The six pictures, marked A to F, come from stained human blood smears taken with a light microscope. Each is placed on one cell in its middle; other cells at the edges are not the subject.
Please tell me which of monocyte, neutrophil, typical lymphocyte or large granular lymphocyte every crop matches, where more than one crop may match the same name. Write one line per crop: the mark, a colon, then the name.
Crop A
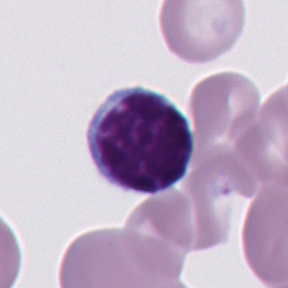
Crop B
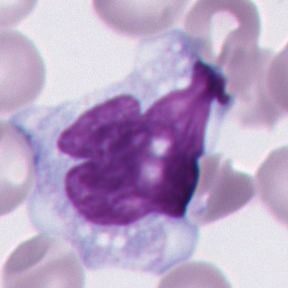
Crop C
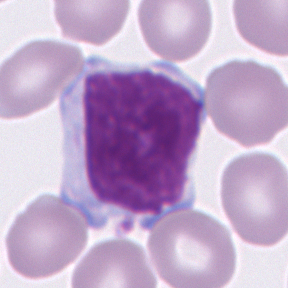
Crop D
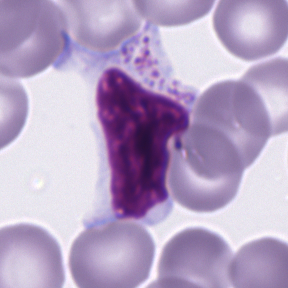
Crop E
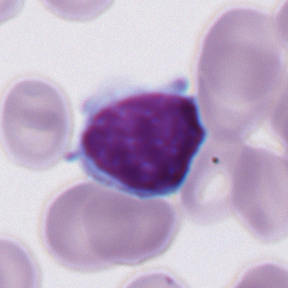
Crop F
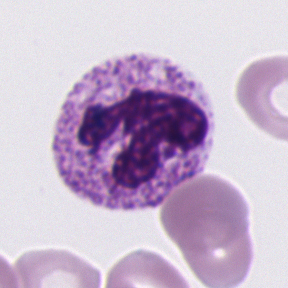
A: typical lymphocyte
B: monocyte
C: large granular lymphocyte
D: large granular lymphocyte
E: typical lymphocyte
F: neutrophil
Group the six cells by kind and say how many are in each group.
typical lymphocyte: 2
large granular lymphocyte: 2
monocyte: 1
neutrophil: 1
